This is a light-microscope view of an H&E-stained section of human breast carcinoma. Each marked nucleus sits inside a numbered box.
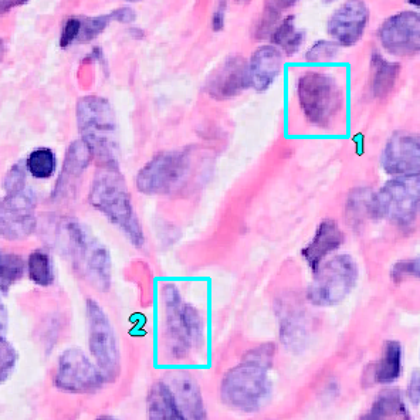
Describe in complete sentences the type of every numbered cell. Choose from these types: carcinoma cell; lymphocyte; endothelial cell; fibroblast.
Cell 1 is a carcinoma cell and cell 2 is an endothelial cell.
